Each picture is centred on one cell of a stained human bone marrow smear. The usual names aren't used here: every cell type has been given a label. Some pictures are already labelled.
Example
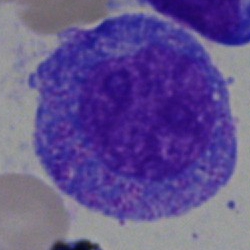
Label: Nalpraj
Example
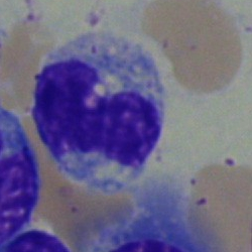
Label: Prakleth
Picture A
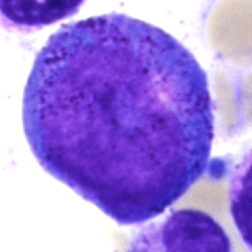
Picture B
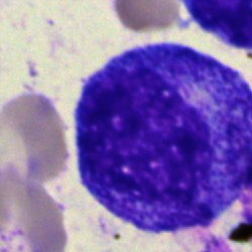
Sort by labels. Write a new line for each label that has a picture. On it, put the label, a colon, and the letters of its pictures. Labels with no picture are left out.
Nalpraj: A, B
